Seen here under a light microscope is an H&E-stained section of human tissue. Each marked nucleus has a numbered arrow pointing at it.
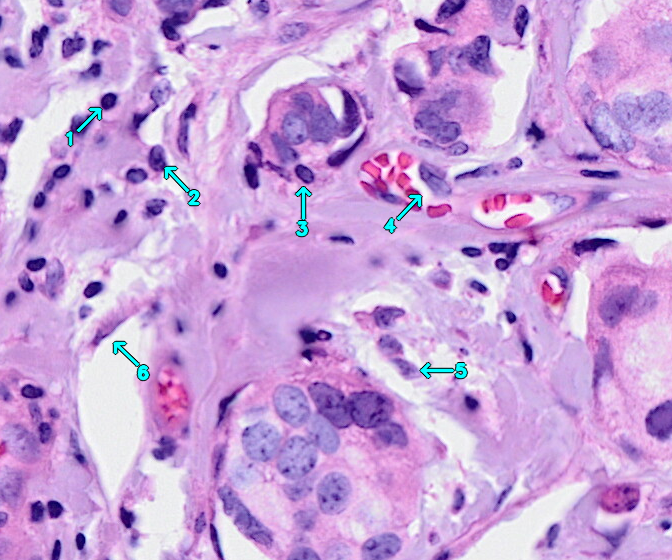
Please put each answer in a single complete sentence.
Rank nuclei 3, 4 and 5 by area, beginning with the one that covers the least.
The order from the smallest nucleus to the largest is 3, 5, 4.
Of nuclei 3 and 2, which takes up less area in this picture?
Number 3 is smaller, since number 2 takes up about 1.5 times as much area.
